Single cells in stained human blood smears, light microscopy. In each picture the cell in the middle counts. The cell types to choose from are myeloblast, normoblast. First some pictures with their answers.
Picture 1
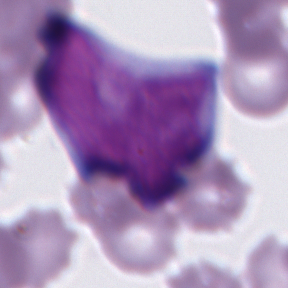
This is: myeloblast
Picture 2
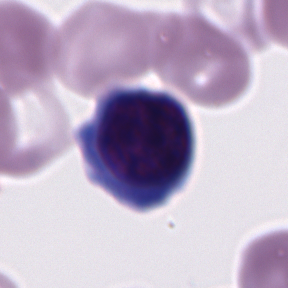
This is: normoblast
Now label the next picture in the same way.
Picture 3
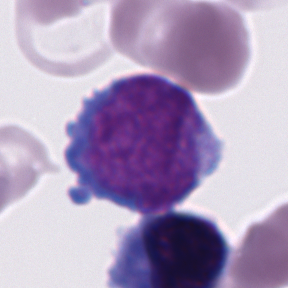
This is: myeloblast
